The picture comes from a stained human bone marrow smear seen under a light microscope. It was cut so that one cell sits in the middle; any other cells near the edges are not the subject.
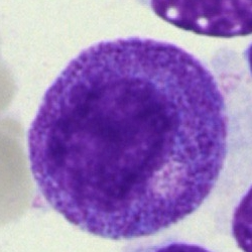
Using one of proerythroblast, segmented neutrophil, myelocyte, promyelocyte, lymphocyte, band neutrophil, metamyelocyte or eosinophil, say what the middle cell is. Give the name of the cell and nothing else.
promyelocyte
